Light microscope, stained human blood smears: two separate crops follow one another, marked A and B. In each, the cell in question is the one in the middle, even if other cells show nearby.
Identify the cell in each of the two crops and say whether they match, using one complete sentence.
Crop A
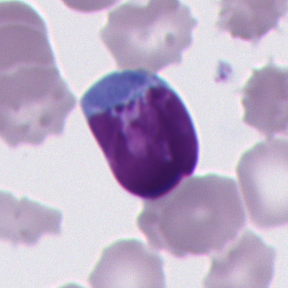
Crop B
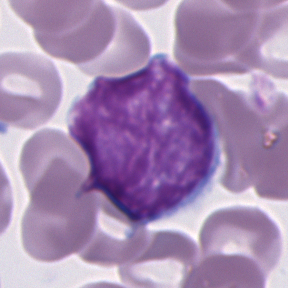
No, crop A depicts a typical lymphocyte, and crop B depicts a myeloblast.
